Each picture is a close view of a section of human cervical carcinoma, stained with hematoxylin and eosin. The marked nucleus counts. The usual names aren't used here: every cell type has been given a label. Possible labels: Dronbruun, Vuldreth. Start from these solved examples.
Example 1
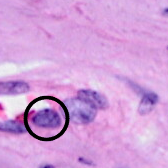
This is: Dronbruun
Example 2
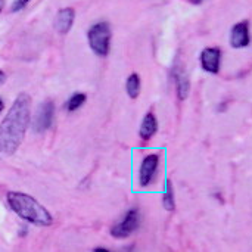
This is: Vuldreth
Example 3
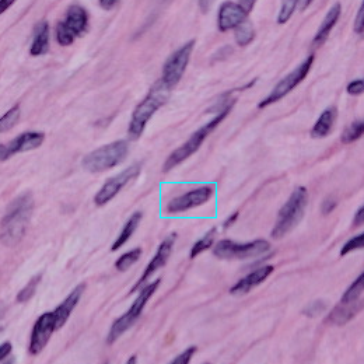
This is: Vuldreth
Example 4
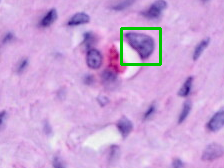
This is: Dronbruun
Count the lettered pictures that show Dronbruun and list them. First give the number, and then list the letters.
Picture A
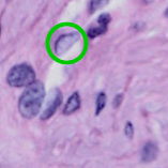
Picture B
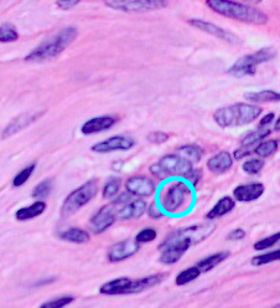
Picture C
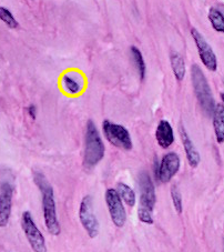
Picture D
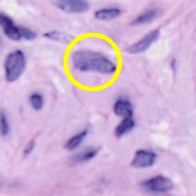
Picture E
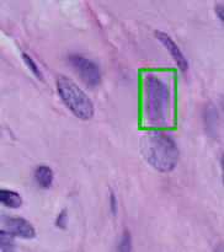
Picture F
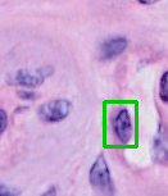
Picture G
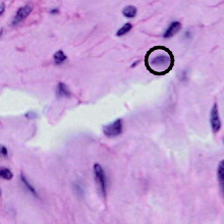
3: A, B, F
